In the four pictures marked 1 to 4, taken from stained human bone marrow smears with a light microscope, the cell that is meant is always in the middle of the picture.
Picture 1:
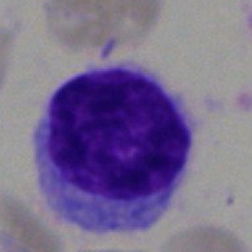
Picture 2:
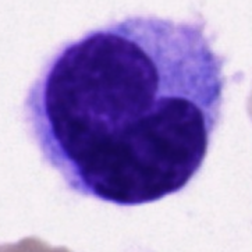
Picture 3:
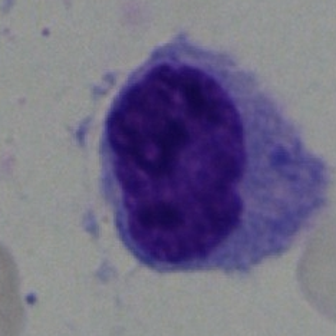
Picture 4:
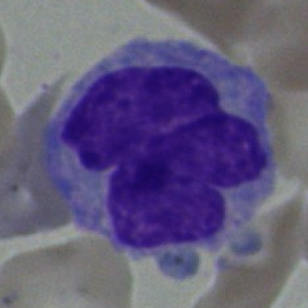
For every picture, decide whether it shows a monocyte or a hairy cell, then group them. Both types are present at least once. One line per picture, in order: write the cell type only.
hairy cell
hairy cell
hairy cell
monocyte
